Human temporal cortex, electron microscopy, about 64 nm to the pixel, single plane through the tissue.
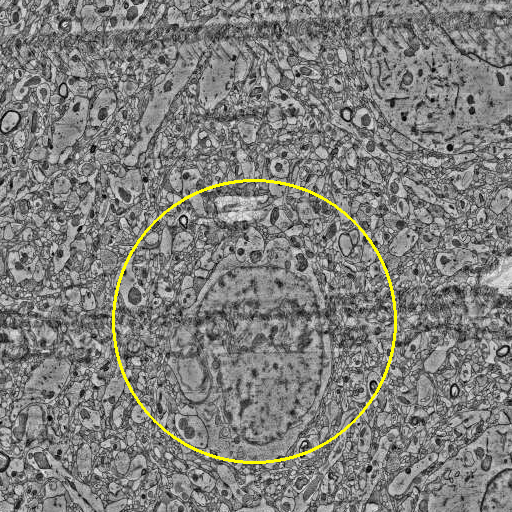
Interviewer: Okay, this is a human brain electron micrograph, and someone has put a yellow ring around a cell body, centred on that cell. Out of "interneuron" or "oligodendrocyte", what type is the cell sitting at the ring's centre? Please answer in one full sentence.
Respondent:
The cell at the centre of the yellow ring in this picture is an interneuron.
